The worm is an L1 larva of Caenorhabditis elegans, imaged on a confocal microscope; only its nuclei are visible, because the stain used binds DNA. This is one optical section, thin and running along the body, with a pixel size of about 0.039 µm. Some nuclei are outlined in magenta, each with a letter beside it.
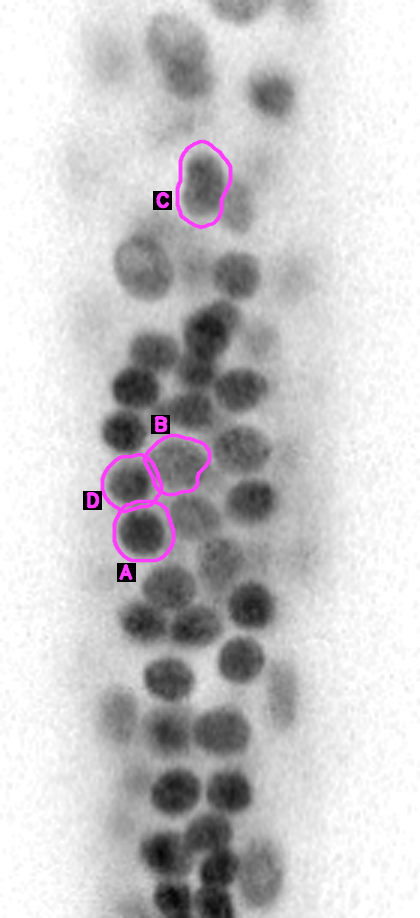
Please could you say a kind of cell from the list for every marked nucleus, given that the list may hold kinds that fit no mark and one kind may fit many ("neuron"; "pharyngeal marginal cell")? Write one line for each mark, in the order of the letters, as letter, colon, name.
A: neuron
B: neuron
C: pharyngeal marginal cell
D: neuron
